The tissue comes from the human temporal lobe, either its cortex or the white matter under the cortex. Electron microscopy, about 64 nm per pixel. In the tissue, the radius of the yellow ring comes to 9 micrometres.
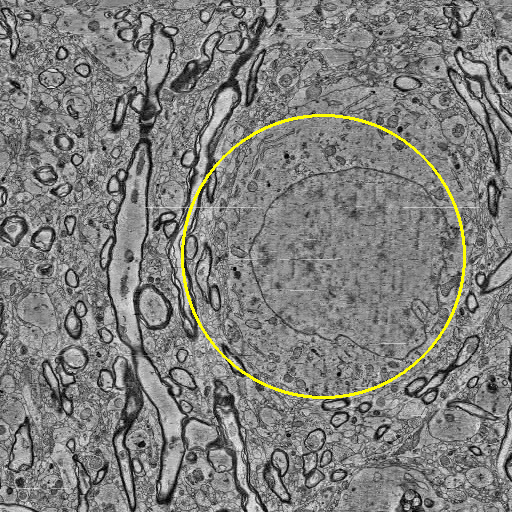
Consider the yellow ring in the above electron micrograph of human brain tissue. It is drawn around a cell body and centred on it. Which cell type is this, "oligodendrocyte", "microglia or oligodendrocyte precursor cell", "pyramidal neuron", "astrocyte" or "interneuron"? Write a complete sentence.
The cell in question is a pyramidal neuron.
